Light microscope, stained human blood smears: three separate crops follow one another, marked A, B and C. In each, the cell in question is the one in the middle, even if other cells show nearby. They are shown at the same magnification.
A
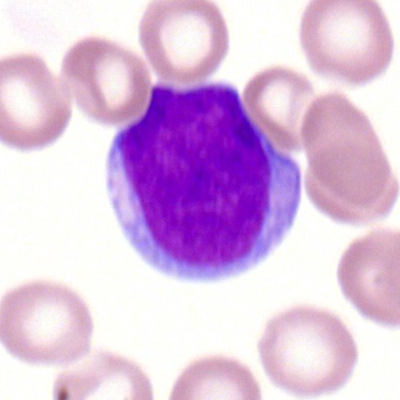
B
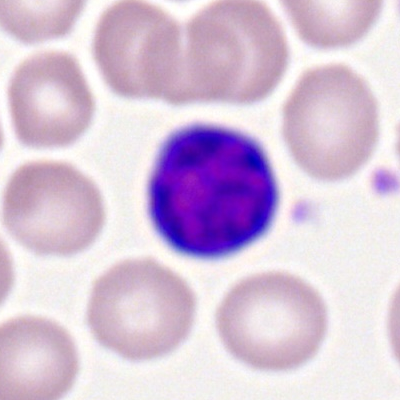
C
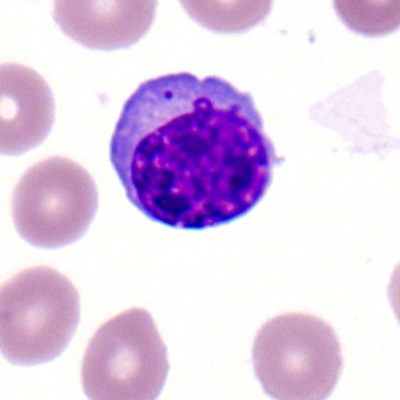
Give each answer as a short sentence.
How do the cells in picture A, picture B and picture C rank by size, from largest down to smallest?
From the largest down, the order is A, C, B.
